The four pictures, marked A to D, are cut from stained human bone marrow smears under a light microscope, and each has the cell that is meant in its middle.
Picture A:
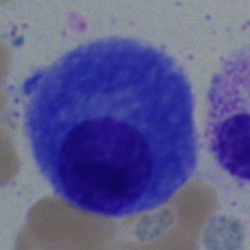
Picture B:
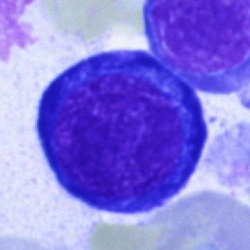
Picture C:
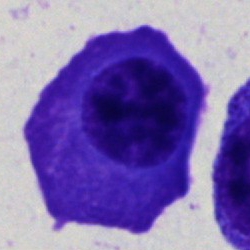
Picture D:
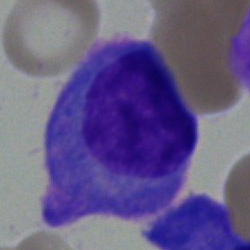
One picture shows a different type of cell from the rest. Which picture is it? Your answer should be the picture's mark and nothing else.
B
